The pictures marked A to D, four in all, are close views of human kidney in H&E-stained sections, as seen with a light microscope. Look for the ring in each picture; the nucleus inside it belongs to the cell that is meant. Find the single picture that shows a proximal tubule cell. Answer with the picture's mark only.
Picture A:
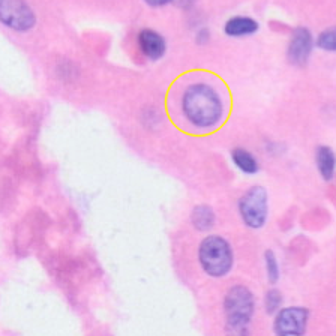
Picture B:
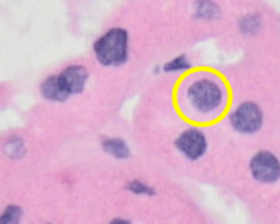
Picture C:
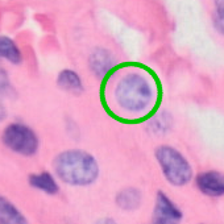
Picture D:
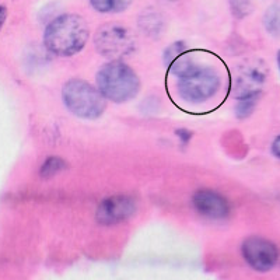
A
